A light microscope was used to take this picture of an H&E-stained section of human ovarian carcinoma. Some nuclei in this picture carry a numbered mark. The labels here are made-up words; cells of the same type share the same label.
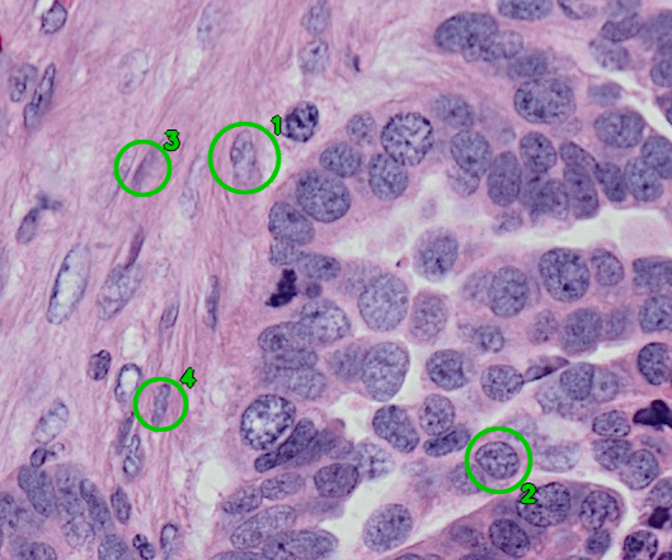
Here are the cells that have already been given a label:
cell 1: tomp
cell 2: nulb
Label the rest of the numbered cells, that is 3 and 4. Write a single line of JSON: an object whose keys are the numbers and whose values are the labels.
{"3": "tomp", "4": "tomp"}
